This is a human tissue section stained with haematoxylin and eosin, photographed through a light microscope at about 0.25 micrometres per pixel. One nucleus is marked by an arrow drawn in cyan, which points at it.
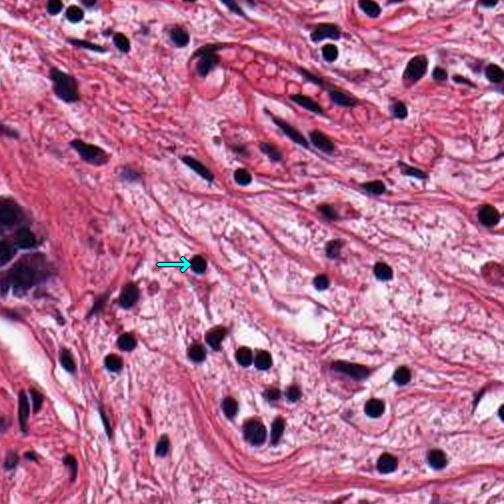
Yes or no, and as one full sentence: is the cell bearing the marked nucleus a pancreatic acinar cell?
No, the marked nucleus is not that of a pancreatic acinar cell but that of a supporting cell.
